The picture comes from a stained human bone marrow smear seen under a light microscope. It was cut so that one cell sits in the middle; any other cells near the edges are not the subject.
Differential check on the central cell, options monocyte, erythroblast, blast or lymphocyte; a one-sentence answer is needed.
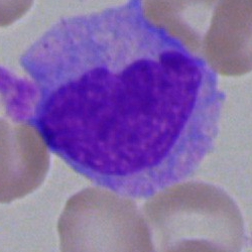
What sits at the centre of this crop is a monocyte.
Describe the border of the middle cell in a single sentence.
Its surface contour departs from smoothness through ragged edges or outward projections.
